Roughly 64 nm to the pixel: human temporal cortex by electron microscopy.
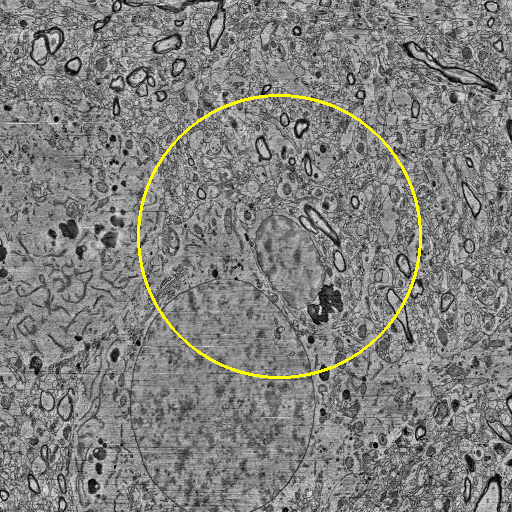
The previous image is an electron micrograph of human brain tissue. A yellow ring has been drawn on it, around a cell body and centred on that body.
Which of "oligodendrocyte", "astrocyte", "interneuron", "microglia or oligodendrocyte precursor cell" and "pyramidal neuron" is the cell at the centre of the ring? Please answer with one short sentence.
The cell body at the centre of the ring belongs to an oligodendrocyte.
